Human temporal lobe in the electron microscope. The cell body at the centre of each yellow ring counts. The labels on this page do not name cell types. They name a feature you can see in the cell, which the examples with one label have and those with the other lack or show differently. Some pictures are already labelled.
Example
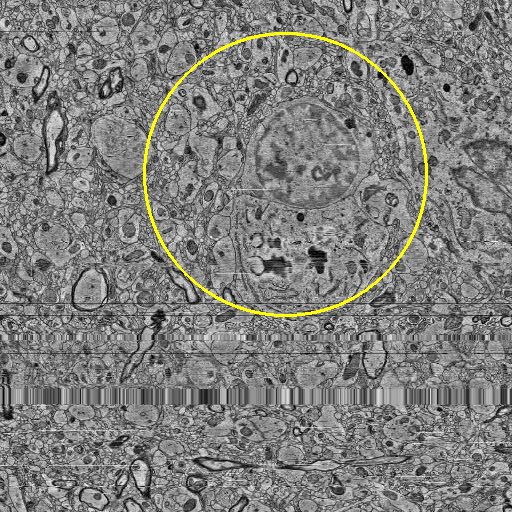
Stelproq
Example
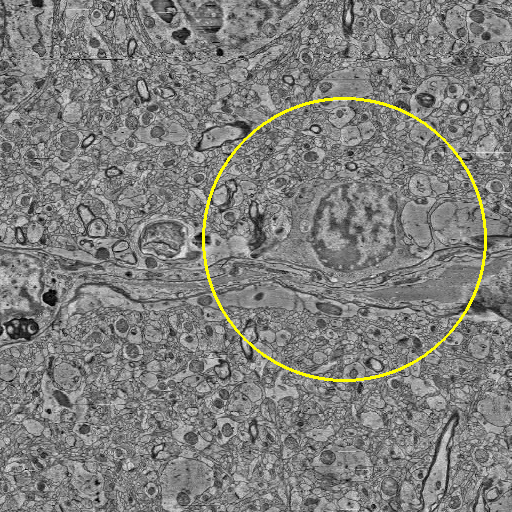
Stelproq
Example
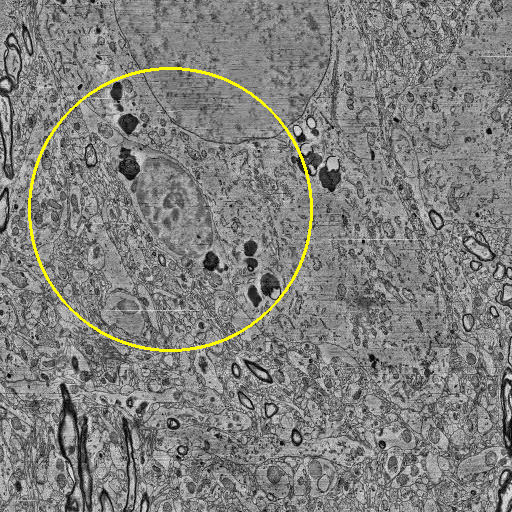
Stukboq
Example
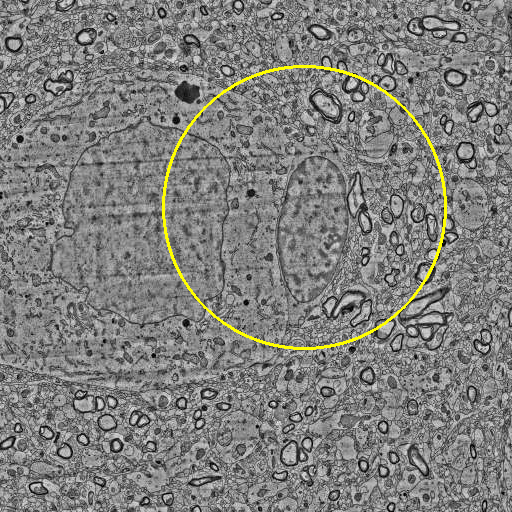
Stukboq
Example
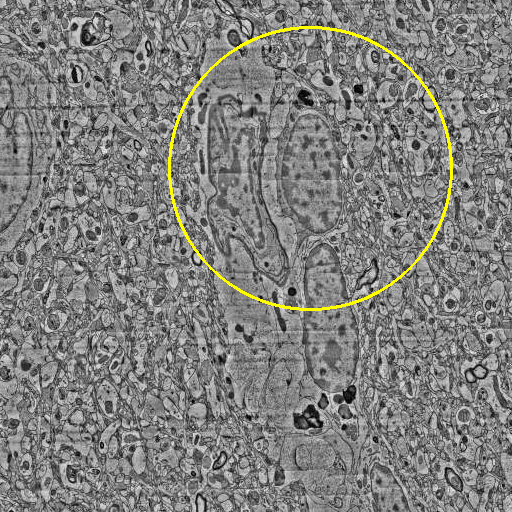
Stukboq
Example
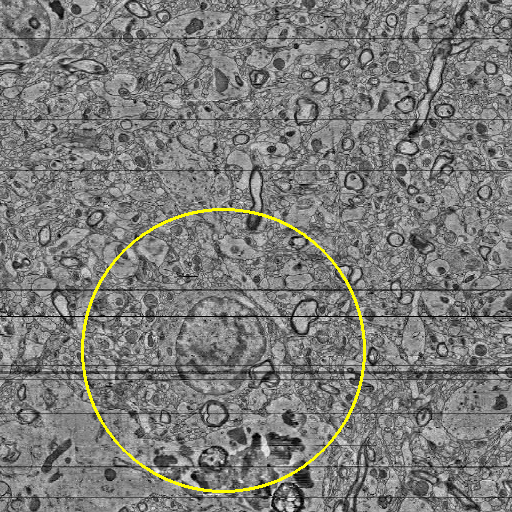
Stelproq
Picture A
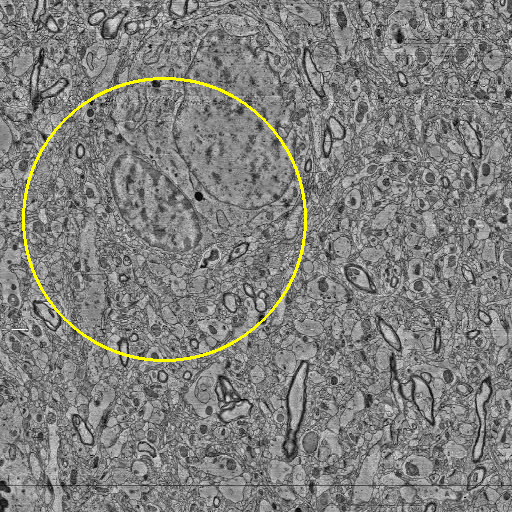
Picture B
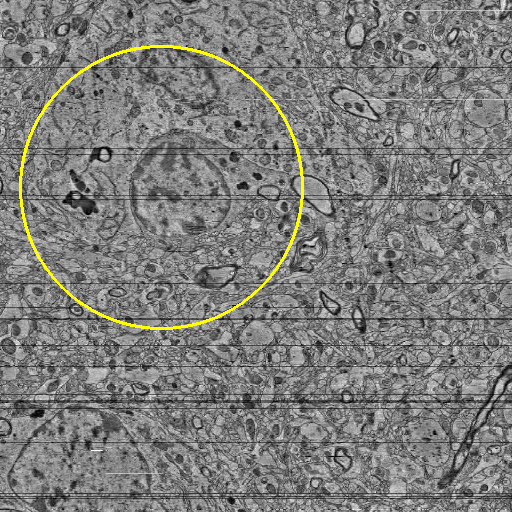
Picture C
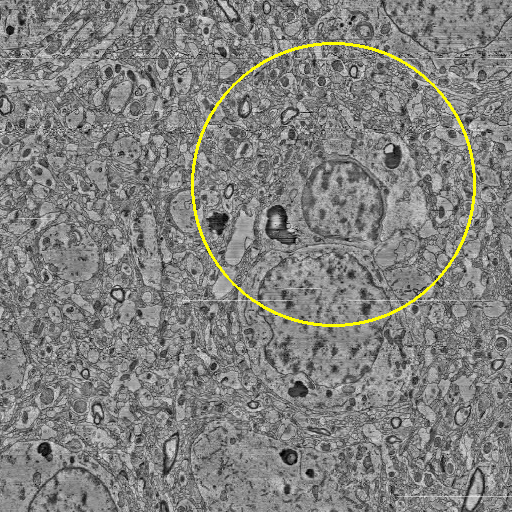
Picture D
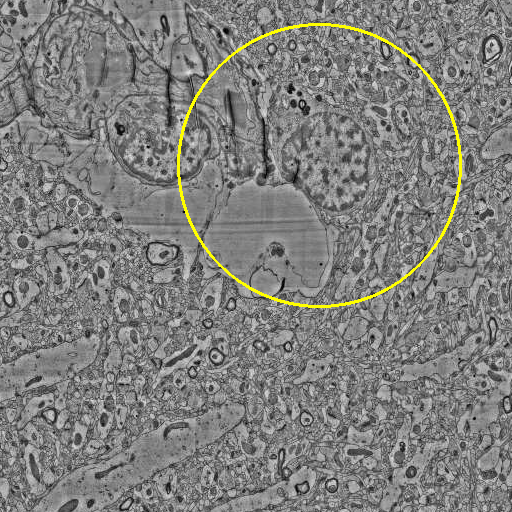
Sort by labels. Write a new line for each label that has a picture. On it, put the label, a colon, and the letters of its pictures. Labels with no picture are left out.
Stelproq: B, C, D
Stukboq: A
